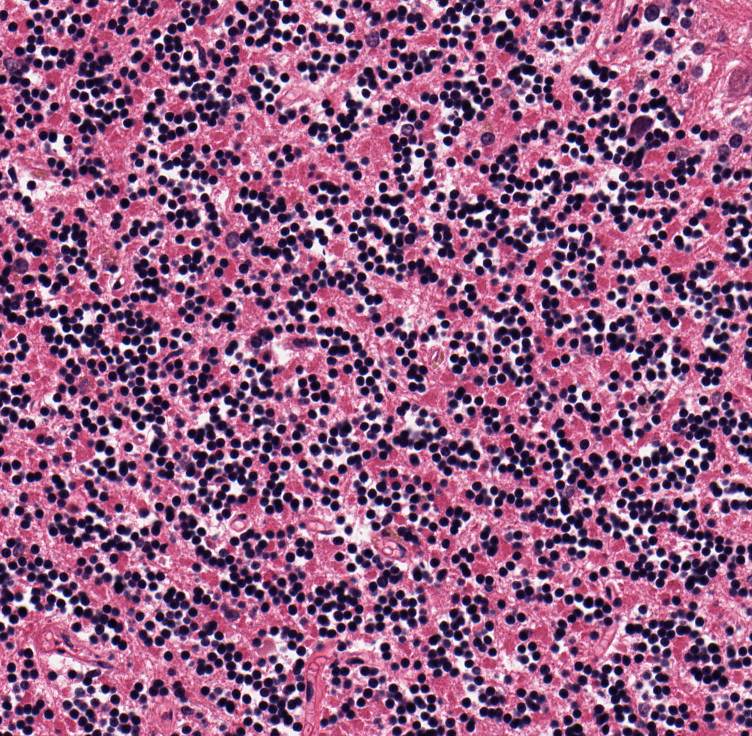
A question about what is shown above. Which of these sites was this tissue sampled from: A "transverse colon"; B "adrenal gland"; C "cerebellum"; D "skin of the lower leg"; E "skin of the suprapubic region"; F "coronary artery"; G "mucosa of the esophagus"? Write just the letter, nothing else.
C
